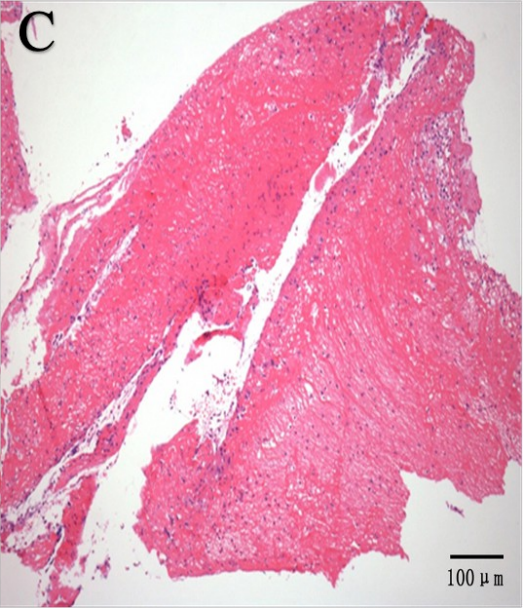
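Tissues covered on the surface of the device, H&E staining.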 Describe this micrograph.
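A large fragment of dense pink material with a finely streaked, wavy, layered texture fills most of the field. Small dark purple nuclei are scattered throughout, more crowded in places toward one edge. A diagonal cleft runs through the fragment, bordered by looser, paler strands carrying more nuclei. There is no ordered tissue architecture, no lining epithelium and no clear vessels; the material is a clot-like mass rather than organized tissue.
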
